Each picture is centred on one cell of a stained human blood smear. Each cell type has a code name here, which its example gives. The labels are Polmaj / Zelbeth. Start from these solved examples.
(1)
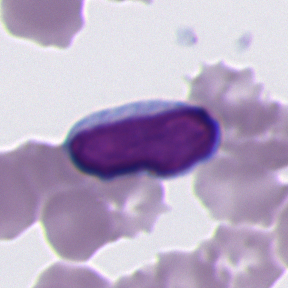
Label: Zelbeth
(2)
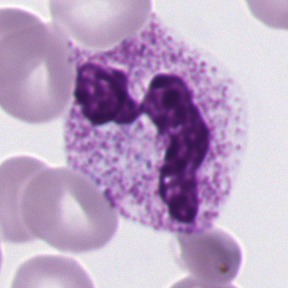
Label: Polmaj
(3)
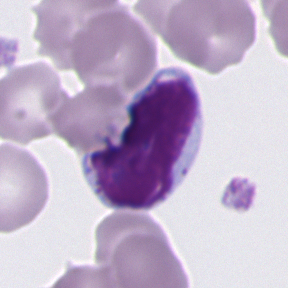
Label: Zelbeth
